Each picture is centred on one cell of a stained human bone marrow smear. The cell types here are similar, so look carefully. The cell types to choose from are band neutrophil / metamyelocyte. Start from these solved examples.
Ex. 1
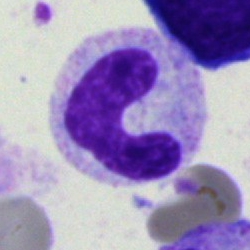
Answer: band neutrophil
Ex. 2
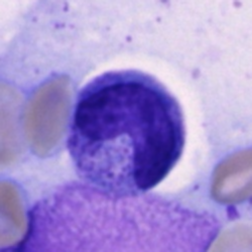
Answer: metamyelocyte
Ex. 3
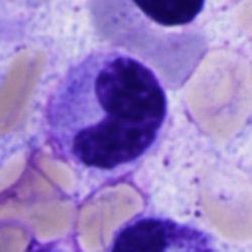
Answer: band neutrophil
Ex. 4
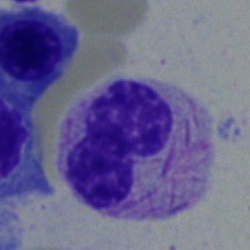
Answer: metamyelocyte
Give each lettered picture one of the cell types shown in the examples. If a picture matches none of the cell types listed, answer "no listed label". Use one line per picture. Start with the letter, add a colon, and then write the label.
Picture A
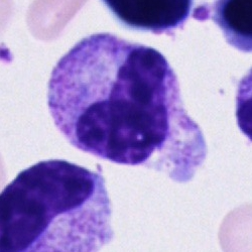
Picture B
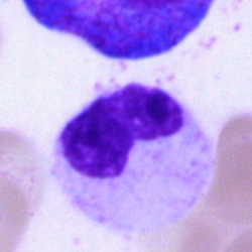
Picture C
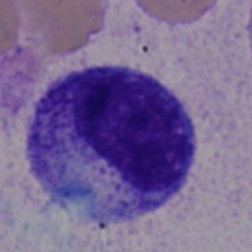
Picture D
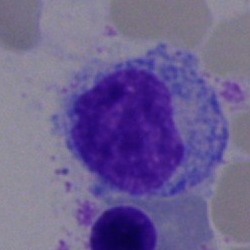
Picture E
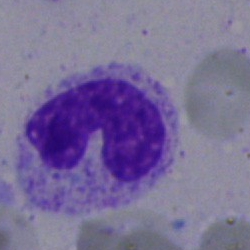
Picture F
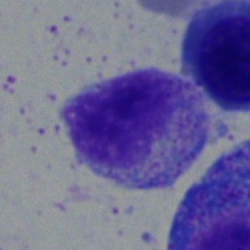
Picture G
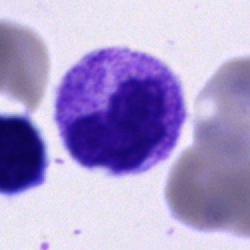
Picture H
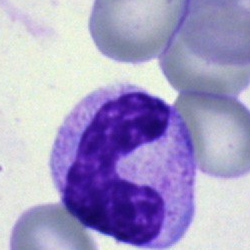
A: metamyelocyte
B: metamyelocyte
C: no listed label
D: no listed label
E: band neutrophil
F: no listed label
G: metamyelocyte
H: band neutrophil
